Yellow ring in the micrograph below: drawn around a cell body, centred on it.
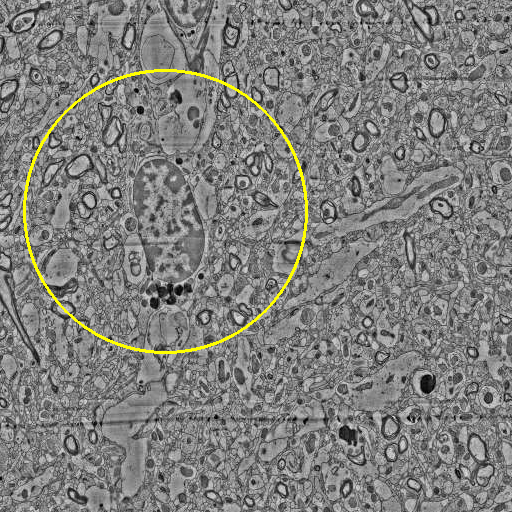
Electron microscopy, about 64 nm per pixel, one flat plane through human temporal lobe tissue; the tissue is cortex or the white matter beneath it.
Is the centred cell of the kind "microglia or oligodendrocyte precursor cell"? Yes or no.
yes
